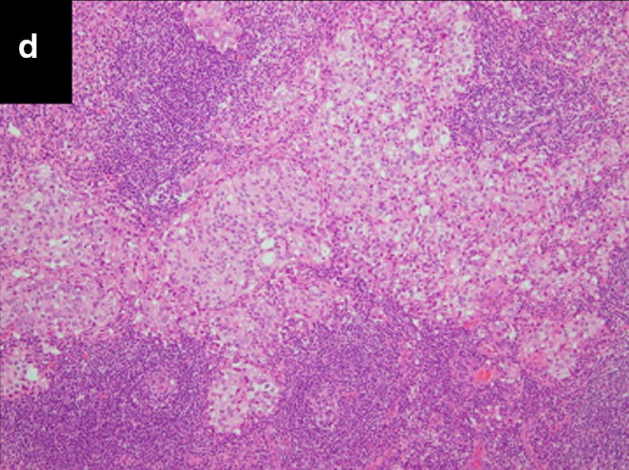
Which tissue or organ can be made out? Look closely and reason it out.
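Dense sheets of small dark-blue round cells. Pale pink islands of larger cells lie among the dark small cells. The answer: Lymph nodes.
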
